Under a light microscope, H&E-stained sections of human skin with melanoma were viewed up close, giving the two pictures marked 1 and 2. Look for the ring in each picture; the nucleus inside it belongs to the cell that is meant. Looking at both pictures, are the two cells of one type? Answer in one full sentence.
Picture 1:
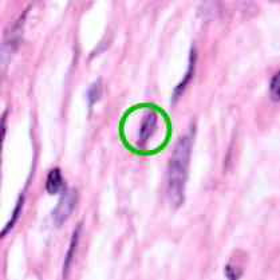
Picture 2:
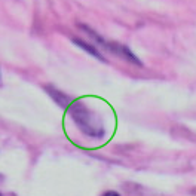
Yes, both cells are “fibroblasts or myofibroblasts”.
